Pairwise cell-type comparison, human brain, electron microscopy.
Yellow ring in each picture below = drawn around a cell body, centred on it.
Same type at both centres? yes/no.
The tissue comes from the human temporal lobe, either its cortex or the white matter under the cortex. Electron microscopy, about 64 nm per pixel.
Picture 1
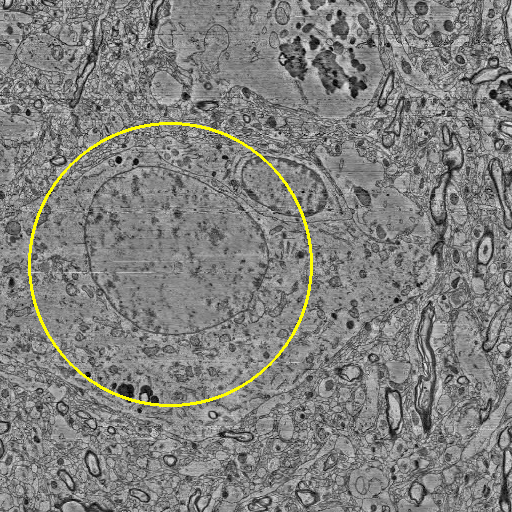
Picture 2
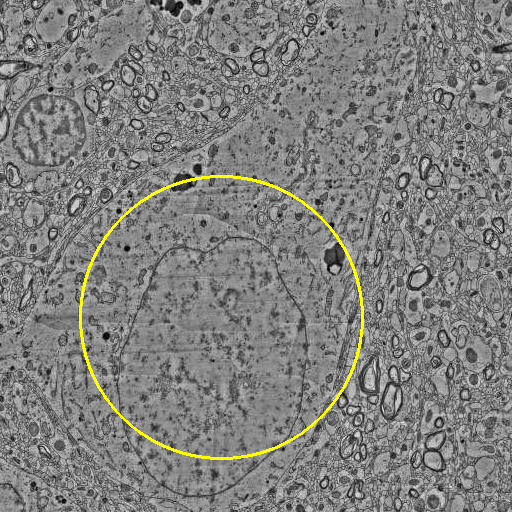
yes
